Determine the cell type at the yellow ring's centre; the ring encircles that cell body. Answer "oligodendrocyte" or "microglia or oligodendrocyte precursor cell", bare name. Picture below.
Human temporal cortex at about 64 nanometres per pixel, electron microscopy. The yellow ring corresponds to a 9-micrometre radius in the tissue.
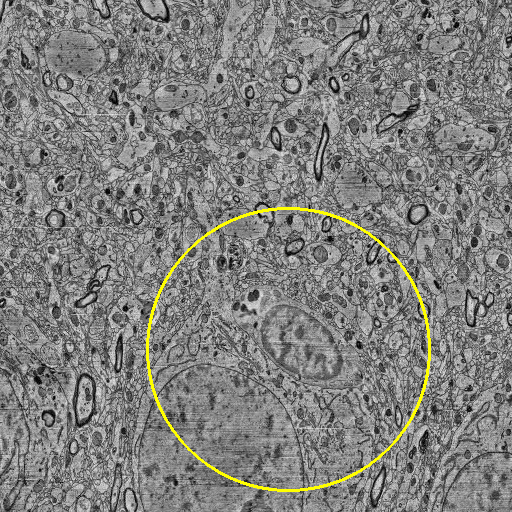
oligodendrocyte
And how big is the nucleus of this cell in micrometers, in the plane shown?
The nucleus is approximately 6 micrometres long but only about 4 wide, clearly longer than it is wide in this plane.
